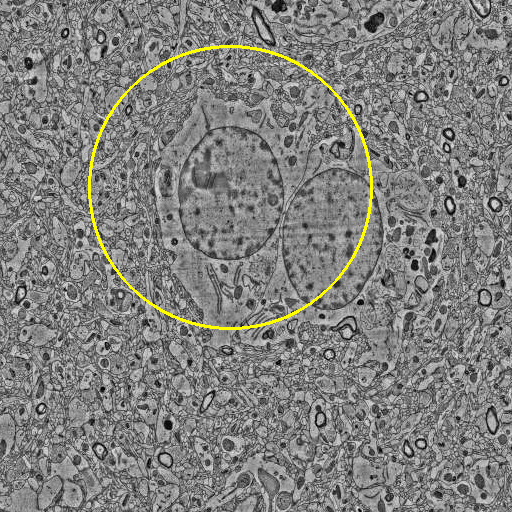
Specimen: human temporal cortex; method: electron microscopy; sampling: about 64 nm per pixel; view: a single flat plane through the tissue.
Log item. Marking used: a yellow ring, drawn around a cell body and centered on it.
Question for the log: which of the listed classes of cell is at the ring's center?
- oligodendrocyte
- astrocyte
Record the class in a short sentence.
At the center of the ring lies an astrocyte.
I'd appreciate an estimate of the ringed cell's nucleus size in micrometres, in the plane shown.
Roughly 8 by 7 micrometres is the size of the nucleus in this plane.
